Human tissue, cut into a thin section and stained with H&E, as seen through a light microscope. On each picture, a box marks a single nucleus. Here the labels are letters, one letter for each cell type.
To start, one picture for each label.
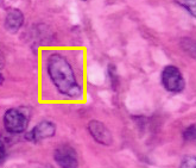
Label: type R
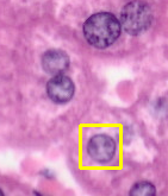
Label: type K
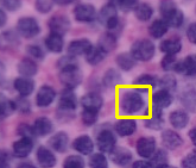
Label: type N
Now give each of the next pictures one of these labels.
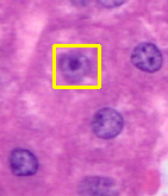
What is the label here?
type K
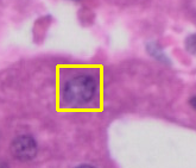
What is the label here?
type K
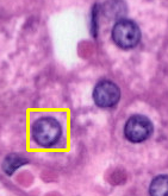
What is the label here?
type K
